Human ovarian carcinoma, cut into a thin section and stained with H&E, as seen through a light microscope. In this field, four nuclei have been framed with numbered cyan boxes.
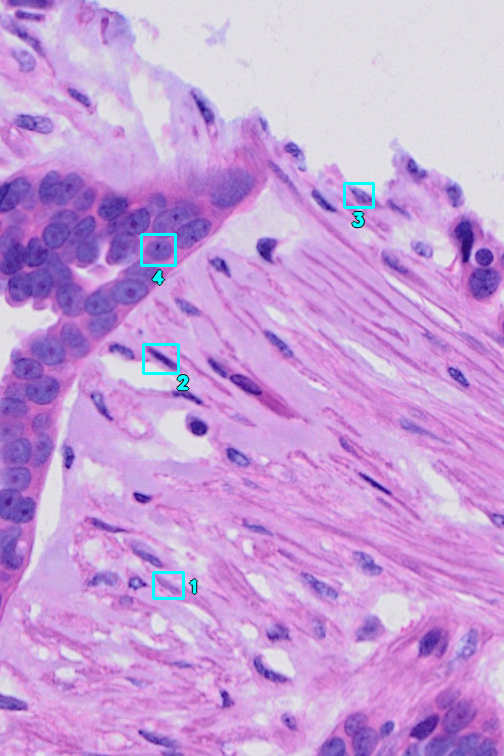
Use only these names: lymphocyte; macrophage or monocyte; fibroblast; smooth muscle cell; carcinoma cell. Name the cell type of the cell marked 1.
fibroblast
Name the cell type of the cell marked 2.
fibroblast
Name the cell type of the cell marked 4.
carcinoma cell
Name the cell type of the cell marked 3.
fibroblast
